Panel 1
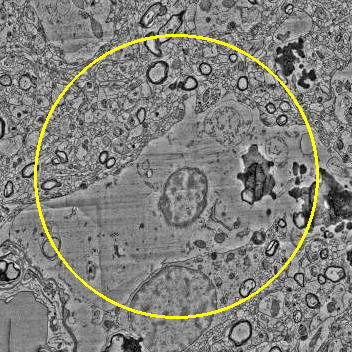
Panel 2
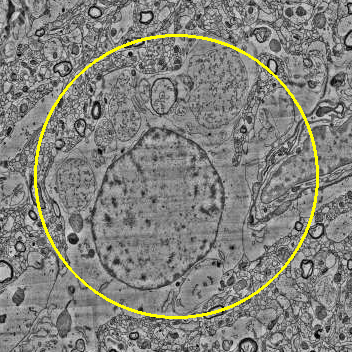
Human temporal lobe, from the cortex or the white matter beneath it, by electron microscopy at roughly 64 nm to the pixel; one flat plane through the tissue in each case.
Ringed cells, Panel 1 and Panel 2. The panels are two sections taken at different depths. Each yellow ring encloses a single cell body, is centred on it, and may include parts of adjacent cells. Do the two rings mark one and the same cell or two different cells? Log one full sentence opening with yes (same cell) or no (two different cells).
No, the two rings are not on the same cell.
